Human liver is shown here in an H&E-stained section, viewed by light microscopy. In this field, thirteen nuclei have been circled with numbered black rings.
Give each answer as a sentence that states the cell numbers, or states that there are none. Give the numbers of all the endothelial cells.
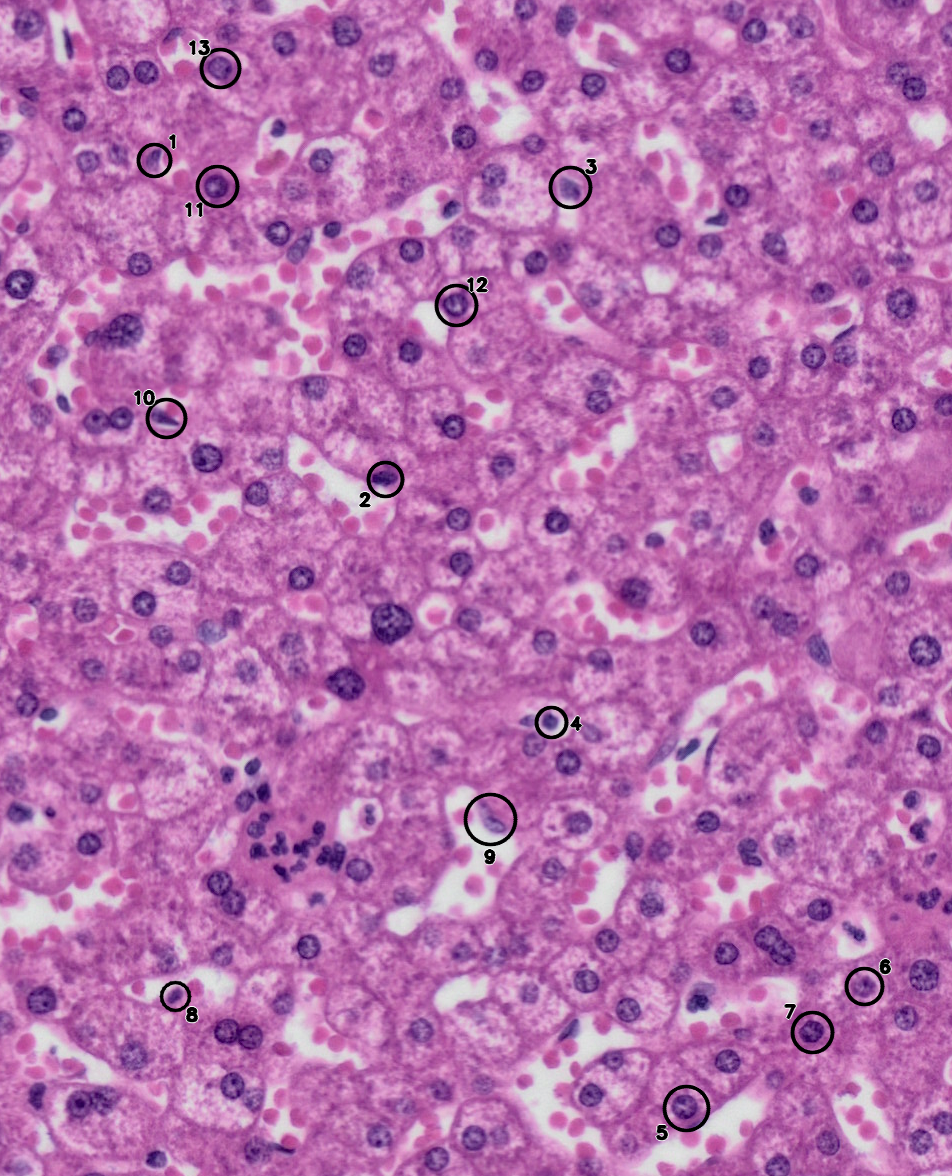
When it comes to cells 1, 3 and 10, they are endothelial cells.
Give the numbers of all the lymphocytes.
So, the cells with numbers 4 and 8 are lymphocytes.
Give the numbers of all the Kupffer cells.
Only the cell numbered 9 qualifies as a Kupffer cell among the marked cells.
